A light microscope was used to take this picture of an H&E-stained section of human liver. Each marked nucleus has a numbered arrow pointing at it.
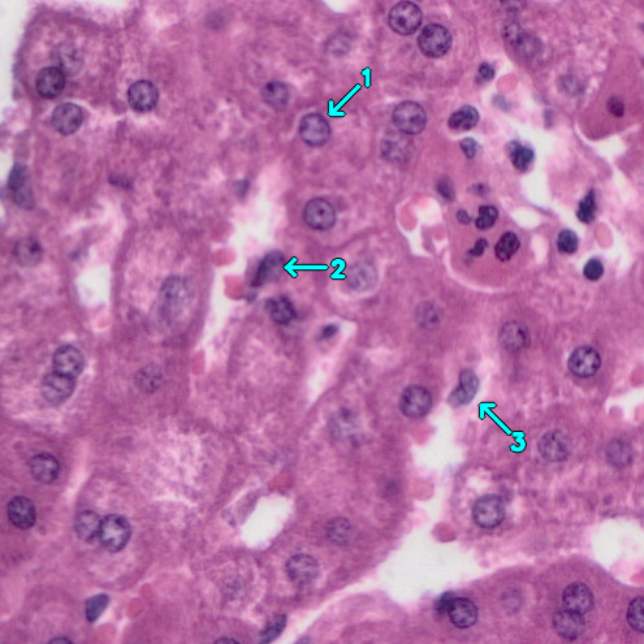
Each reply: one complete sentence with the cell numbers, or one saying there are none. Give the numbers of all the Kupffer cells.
When it comes to cells 2 and 3, they are Kupffer cells.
